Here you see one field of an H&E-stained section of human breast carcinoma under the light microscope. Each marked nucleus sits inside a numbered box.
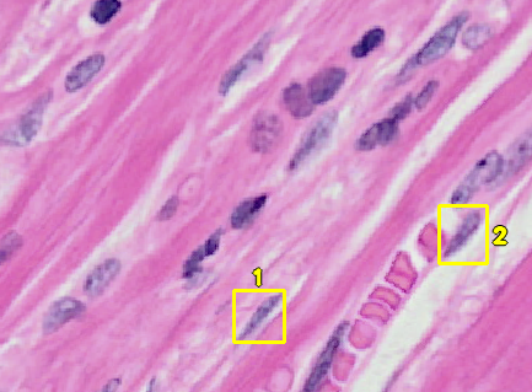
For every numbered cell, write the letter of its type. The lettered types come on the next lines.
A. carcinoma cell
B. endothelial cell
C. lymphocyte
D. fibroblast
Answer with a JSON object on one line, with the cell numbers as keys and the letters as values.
{"1": "D", "2": "B"}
